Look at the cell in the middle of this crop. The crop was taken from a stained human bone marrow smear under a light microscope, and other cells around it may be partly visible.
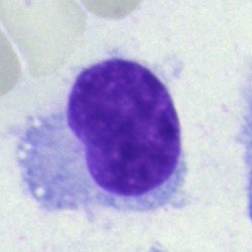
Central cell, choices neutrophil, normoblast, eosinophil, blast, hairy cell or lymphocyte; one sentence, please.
The single cell at the center of the crop is a hairy cell.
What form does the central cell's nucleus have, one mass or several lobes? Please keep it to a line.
Its nucleus is compact and single, with a round, oval or kidney-shaped form.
